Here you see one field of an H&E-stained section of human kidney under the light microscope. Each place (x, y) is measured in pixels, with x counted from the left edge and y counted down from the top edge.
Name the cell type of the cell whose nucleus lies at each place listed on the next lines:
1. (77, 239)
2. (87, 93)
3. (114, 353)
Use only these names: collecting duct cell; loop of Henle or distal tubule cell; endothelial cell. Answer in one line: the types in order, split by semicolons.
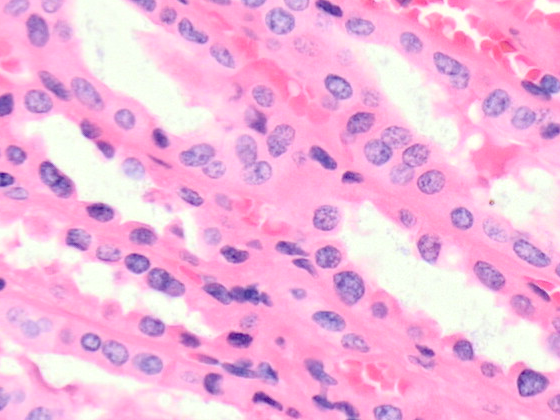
loop of Henle or distal tubule cell; collecting duct cell; collecting duct cell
